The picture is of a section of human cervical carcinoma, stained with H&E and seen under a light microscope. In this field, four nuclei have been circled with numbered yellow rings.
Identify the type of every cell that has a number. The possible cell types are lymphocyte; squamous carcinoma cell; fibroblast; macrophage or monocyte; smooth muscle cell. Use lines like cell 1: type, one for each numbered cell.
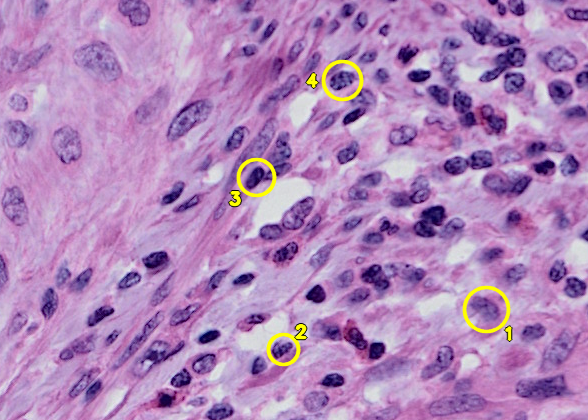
cell 1: macrophage or monocyte
cell 2: lymphocyte
cell 3: lymphocyte
cell 4: lymphocyte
